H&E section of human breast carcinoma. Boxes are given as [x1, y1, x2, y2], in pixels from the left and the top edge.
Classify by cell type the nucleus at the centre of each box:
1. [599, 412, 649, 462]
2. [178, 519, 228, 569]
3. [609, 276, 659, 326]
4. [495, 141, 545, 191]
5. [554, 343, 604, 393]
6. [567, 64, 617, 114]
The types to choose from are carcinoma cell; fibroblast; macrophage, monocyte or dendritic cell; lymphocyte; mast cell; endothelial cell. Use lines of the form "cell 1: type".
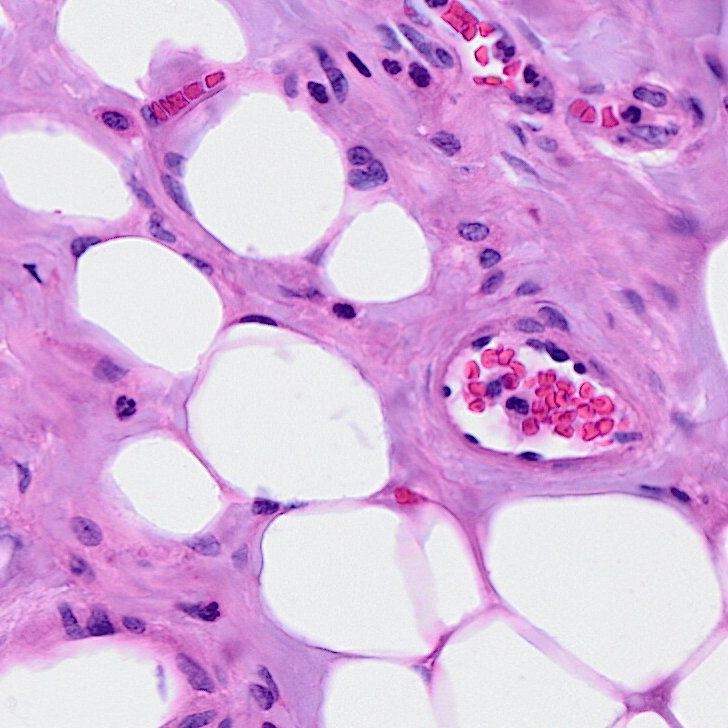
cell 1: endothelial cell
cell 2: fibroblast
cell 3: fibroblast
cell 4: fibroblast
cell 5: endothelial cell
cell 6: endothelial cell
